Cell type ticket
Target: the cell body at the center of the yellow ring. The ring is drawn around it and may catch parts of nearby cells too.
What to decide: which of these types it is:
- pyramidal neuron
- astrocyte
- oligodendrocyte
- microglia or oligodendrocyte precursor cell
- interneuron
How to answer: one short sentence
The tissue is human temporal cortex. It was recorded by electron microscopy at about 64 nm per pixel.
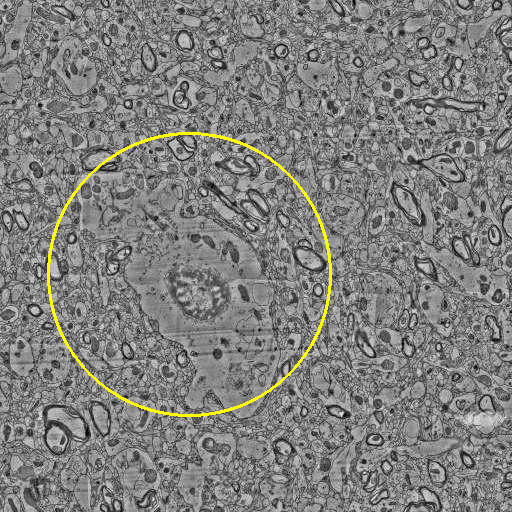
The cell at the center of the ring is an astrocyte.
